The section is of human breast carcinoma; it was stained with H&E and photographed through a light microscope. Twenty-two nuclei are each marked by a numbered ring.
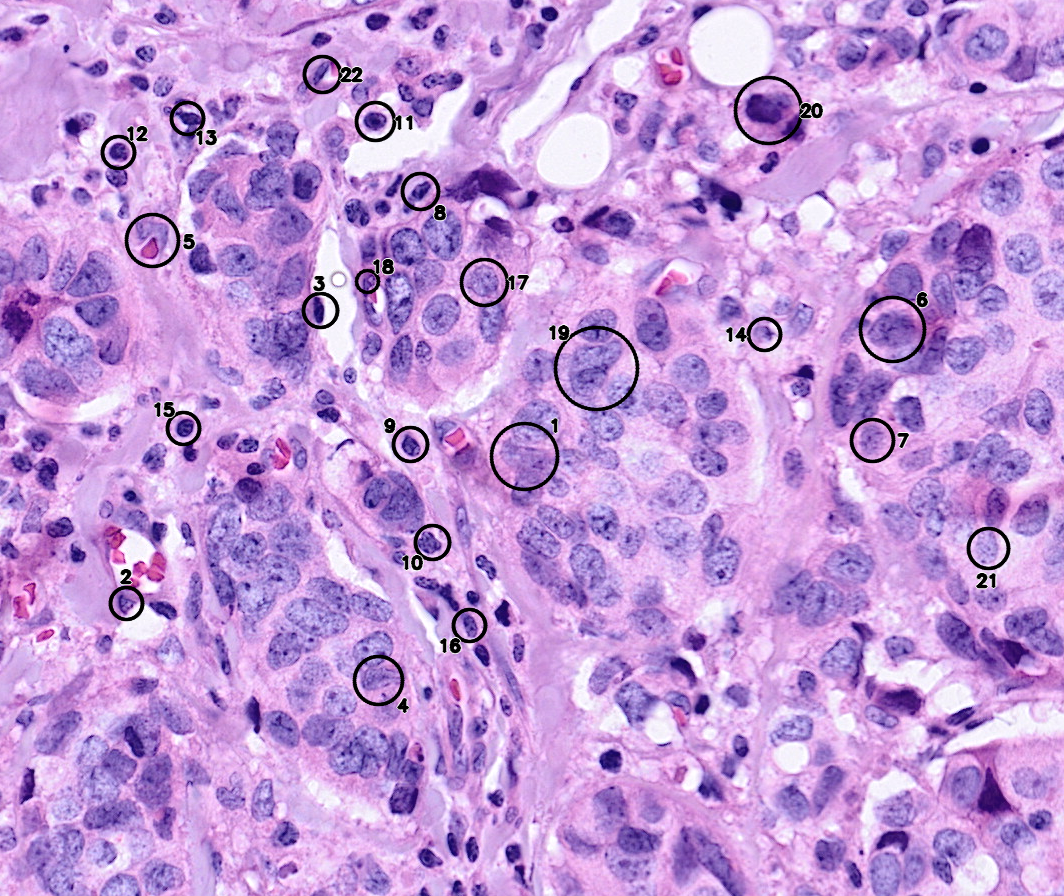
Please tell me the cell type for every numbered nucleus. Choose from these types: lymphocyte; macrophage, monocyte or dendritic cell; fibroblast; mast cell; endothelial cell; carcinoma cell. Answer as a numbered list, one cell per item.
1. carcinoma cell
2. endothelial cell
3. lymphocyte
4. carcinoma cell
5. endothelial cell
6. carcinoma cell
7. carcinoma cell
8. lymphocyte
9. mast cell
10. lymphocyte
11. lymphocyte
12. lymphocyte
13. lymphocyte
14. macrophage, monocyte or dendritic cell
15. lymphocyte
16. mast cell
17. carcinoma cell
18. endothelial cell
19. carcinoma cell
20. carcinoma cell
21. carcinoma cell
22. endothelial cell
